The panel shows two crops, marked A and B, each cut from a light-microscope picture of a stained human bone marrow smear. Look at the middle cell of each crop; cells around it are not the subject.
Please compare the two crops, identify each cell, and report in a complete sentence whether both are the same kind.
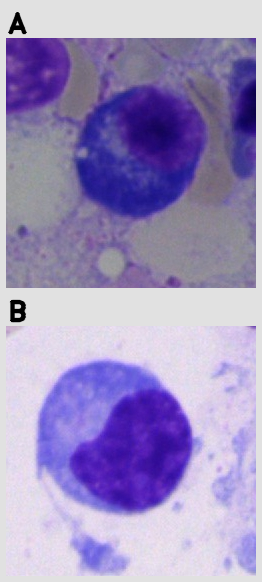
Yes, as for both crops, the cells shown are plasma cells.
